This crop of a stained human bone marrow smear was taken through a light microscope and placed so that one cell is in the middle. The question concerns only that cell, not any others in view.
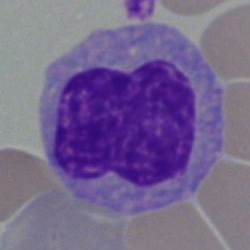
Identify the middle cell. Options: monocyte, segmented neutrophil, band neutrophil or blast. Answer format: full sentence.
In this smear crop, the middle cell is a monocyte.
